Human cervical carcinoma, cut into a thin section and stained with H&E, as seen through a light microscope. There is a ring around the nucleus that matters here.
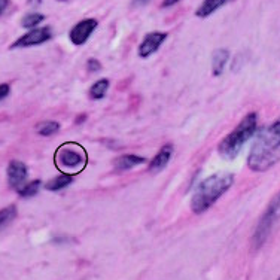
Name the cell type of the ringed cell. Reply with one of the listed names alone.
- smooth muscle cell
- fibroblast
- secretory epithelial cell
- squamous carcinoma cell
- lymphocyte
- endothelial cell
smooth muscle cell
